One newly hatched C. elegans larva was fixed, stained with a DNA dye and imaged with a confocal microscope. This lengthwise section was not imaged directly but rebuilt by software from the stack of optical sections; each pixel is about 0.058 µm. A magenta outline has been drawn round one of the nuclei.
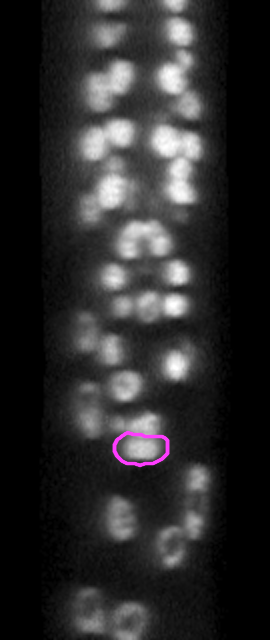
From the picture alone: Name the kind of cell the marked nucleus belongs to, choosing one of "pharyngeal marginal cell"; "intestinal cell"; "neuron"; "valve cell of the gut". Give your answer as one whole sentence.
It is the nucleus of a valve cell of the gut.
